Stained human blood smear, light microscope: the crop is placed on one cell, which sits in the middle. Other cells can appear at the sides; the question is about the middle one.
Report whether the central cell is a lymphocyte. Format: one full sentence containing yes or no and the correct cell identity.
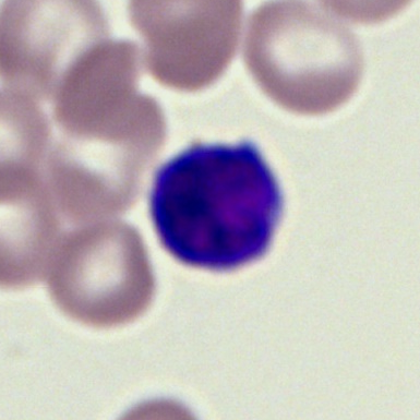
Yes, the cell centred in the field of view is a lymphocyte.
